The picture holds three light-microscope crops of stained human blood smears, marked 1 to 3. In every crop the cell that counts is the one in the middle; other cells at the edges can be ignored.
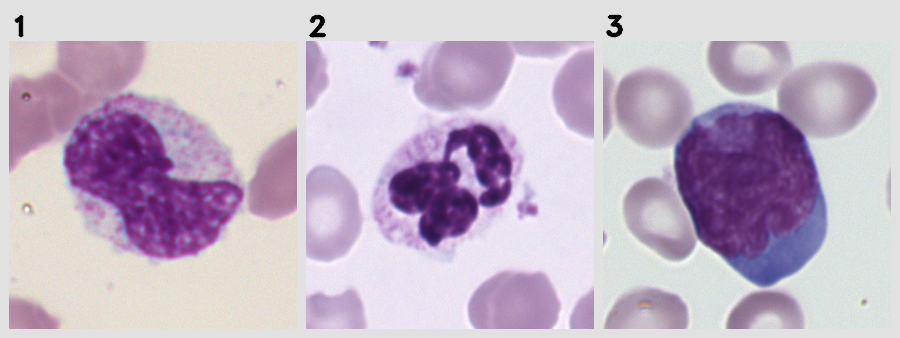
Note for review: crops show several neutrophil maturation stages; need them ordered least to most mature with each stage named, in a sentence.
The order of increasing maturity among the crops is crop 3 (a myeloblast), crop 1 (a band neutrophil) and crop 2 (a segmented neutrophil).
